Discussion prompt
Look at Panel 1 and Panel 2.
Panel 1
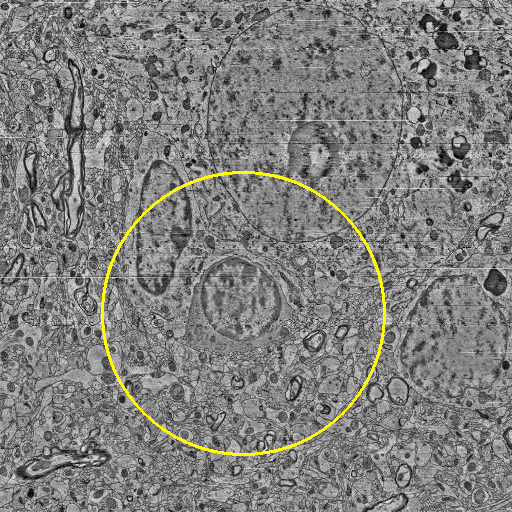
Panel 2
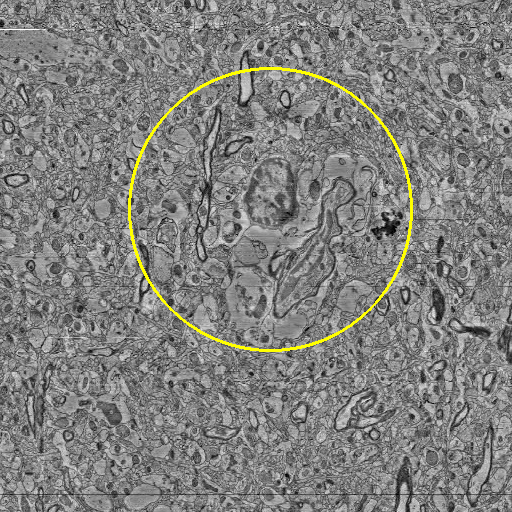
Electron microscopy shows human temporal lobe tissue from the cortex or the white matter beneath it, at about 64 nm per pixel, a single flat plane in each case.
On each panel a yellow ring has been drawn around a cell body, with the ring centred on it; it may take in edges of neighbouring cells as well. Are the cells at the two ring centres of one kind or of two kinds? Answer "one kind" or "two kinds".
one kind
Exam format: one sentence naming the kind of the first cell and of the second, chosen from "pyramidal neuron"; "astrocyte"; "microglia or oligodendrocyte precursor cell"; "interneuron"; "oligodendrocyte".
The second cell is an oligodendrocyte, just as the first is.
